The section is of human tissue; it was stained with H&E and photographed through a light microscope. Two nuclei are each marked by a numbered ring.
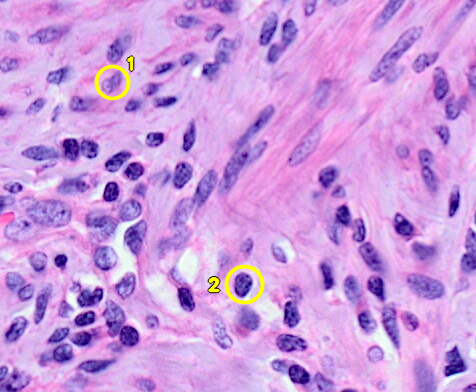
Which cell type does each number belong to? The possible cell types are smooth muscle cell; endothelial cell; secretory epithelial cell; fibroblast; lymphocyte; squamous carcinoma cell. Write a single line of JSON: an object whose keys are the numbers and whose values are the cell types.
{"1": "smooth muscle cell", "2": "lymphocyte"}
